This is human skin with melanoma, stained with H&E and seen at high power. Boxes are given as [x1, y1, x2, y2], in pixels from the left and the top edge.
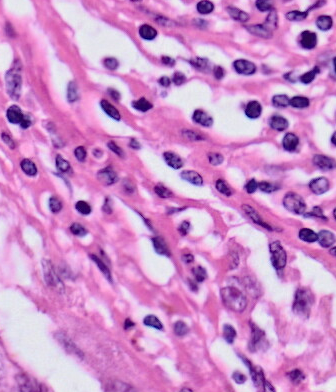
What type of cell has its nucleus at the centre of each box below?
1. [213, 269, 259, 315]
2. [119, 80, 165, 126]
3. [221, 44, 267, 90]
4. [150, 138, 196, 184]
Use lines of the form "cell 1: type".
cell 1: melanoma cell
cell 2: lymphocyte
cell 3: lymphocyte
cell 4: lymphocyte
